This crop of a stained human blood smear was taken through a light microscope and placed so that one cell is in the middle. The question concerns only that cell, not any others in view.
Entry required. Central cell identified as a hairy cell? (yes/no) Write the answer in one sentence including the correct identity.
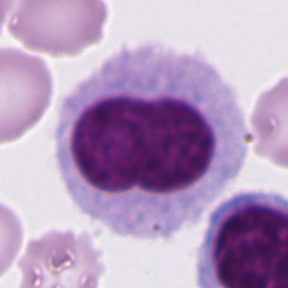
Yes, within this crop, the central cell is a hairy cell.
